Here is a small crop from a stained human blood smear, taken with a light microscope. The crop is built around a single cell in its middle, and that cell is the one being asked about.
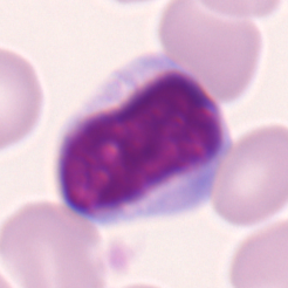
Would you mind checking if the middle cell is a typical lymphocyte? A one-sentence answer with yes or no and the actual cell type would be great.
Yes, in this crop the cell in the middle is a typical lymphocyte.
